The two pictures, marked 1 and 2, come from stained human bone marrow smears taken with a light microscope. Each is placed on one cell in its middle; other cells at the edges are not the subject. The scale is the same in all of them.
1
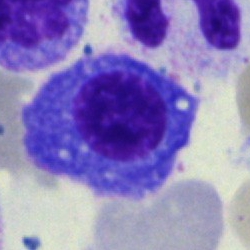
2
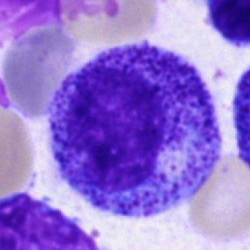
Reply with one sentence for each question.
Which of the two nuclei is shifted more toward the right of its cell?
Seen within its cell, the nucleus in crop 1 lies further toward the right.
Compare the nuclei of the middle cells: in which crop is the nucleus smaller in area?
Crop 1 shows the smaller nucleus, since that in crop 2 covers about 1.5 times as much area.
